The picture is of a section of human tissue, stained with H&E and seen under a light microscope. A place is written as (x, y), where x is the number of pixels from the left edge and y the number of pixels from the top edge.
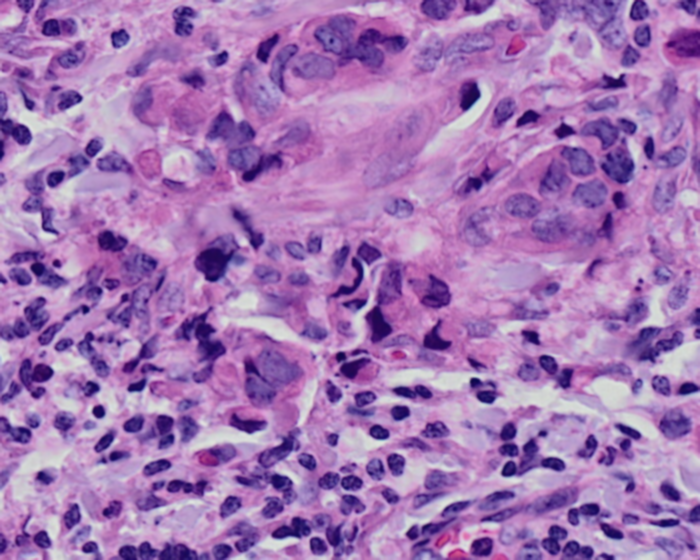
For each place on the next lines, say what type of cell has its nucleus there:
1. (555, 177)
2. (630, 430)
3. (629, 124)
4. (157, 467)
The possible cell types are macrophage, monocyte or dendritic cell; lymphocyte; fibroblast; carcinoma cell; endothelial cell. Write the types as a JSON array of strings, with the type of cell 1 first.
["carcinoma cell", "lymphocyte", "lymphocyte", "lymphocyte"]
